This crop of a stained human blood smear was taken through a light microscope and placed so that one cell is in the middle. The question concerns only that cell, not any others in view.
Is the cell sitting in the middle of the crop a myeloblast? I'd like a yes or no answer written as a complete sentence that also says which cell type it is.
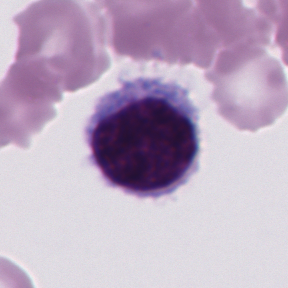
No, the central cell qualifies as a hairy cell rather than as a myeloblast.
